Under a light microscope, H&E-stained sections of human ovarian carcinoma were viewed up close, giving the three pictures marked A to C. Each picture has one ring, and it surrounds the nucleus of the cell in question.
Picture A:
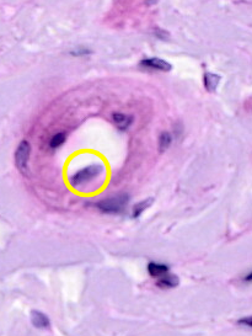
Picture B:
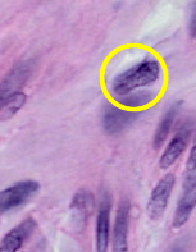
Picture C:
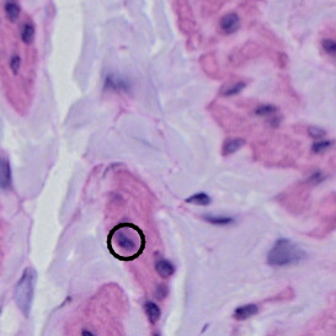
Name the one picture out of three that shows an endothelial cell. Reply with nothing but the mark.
A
